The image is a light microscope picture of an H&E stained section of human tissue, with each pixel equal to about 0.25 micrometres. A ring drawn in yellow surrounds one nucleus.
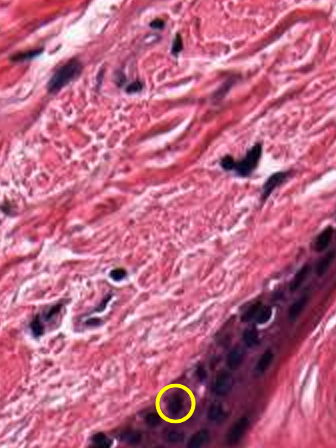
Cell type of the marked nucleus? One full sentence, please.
Marked in this picture is the nucleus of a keratinocyte.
